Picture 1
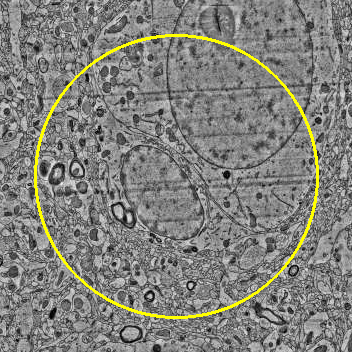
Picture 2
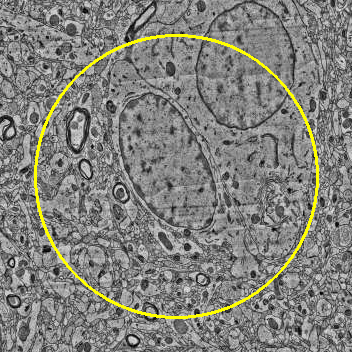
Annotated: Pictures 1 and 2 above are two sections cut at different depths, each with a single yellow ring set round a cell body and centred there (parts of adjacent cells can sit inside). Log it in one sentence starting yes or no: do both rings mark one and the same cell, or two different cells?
Yes, both rings identify a single, shared cell.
